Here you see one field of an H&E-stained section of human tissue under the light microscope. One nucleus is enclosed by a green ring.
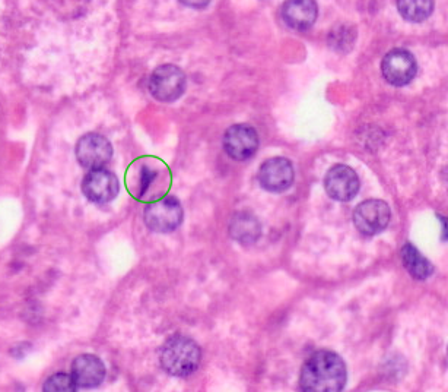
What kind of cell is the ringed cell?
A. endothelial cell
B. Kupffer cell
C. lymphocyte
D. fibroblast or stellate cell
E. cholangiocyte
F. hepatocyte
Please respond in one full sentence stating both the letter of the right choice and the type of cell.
In agreement with option D, the ringed cell is a fibroblast or stellate cell.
